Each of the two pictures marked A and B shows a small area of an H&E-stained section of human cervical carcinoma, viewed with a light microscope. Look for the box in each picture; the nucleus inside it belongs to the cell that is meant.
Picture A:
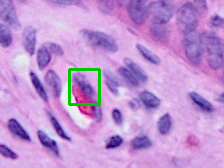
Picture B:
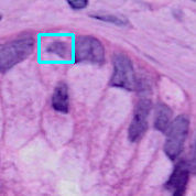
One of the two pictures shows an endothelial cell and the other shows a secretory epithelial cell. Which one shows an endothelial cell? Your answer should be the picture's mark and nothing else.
A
